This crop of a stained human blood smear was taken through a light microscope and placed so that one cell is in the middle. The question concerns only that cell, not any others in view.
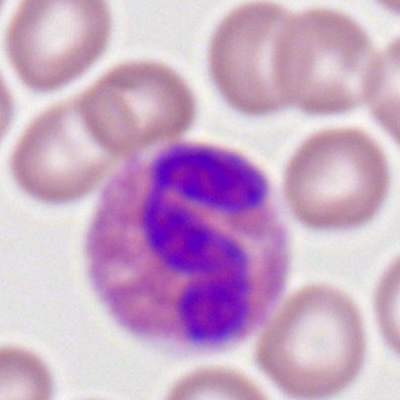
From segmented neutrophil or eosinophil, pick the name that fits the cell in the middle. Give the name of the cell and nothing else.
eosinophil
